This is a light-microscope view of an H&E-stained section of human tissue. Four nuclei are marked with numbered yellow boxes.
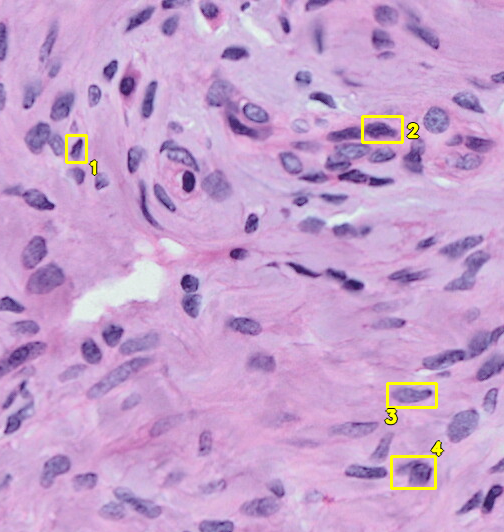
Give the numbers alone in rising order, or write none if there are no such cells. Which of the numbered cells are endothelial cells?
2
